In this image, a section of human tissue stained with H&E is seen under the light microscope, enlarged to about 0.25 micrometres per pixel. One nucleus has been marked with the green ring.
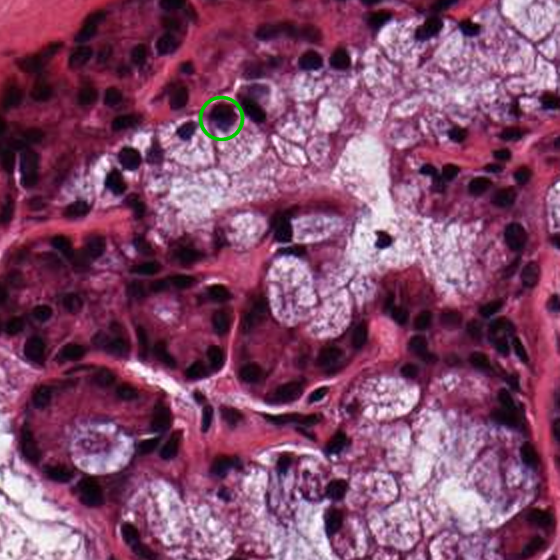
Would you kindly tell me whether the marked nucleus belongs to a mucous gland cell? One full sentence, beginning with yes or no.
Yes, a mucous gland cell is what the marked nucleus belongs to.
